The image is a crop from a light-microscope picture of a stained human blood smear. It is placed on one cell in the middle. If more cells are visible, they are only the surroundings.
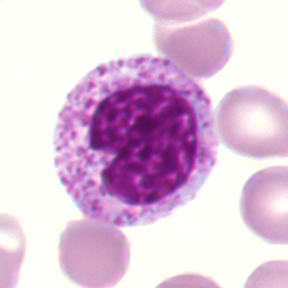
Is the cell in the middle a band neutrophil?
yes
